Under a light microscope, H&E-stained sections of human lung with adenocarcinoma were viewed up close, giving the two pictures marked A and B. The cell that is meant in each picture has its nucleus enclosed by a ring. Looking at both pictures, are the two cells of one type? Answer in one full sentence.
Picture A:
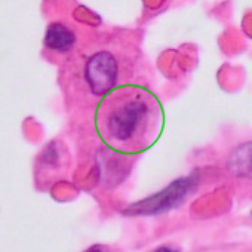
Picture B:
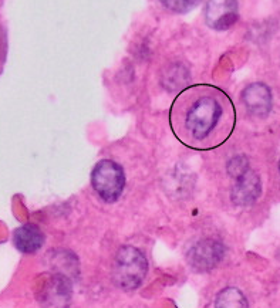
Yes, both are “macrophages or monocytes”.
